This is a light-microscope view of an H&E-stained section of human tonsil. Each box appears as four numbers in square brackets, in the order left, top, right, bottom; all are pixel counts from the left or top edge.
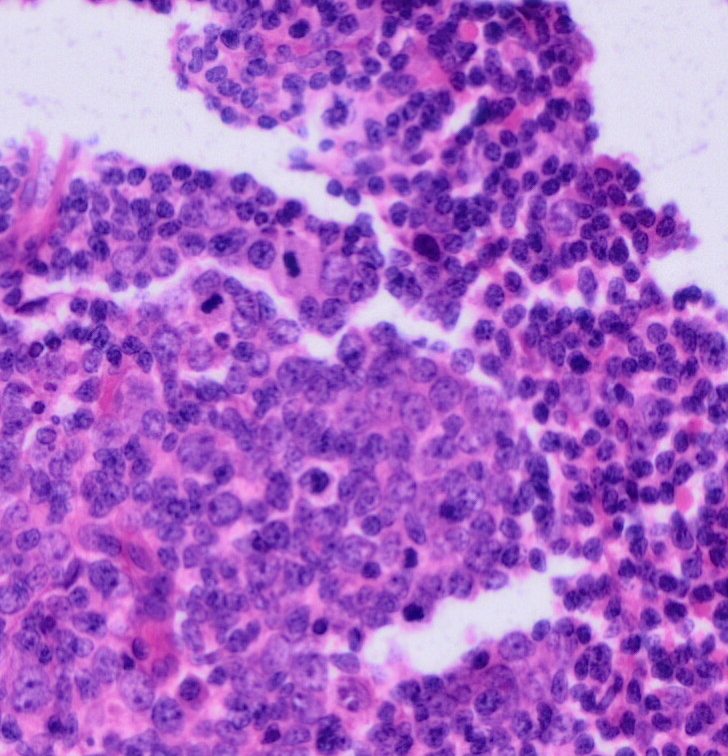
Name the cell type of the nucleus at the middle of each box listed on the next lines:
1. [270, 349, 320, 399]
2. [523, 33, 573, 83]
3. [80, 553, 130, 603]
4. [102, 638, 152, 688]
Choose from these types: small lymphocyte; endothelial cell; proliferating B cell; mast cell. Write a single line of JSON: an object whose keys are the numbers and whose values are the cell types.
{"1": "proliferating B cell", "2": "small lymphocyte", "3": "proliferating B cell", "4": "proliferating B cell"}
